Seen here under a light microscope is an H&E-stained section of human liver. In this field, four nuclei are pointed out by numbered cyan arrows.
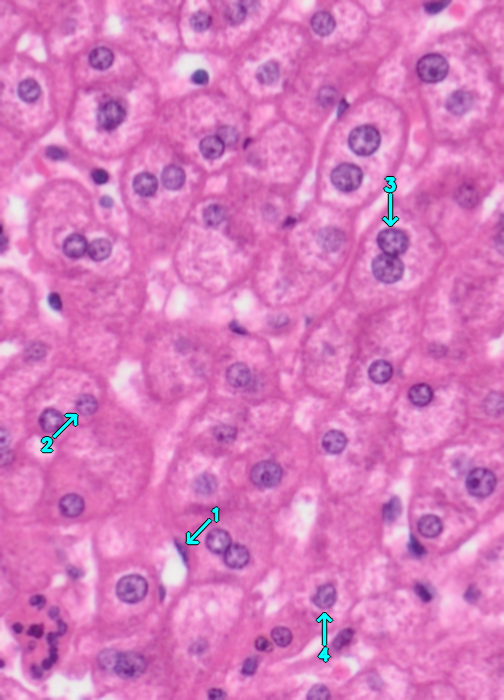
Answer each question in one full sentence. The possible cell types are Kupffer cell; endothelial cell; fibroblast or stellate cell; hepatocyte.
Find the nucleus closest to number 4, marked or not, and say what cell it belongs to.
Number 4 lies closest to the nucleus of a Kupffer cell.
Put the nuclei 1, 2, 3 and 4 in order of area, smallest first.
Smallest first, the nuclei run 1, 2, 4, 3.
